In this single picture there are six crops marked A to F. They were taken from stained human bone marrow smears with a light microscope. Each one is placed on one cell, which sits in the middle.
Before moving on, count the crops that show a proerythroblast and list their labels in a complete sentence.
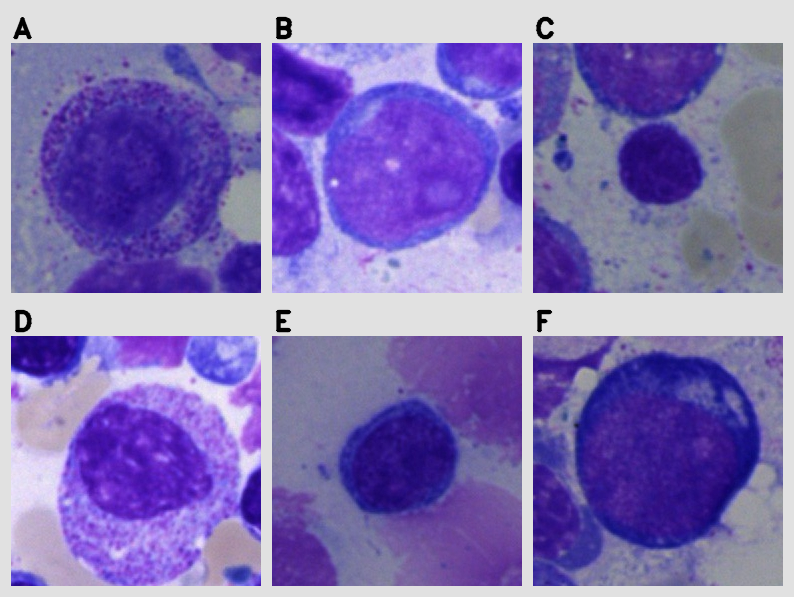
In total, two crops show proerythroblasts, namely crops B and F.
